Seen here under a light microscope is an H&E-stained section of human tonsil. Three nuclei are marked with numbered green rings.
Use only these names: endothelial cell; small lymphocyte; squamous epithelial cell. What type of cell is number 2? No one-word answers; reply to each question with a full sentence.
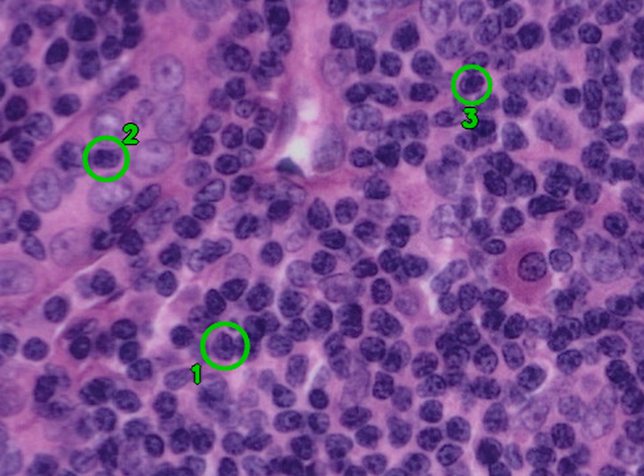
The numeral 2 marks an endothelial cell in this section.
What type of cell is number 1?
The cell identified by number 1 is a small lymphocyte.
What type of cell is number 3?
Regarding cell 3, this one is a small lymphocyte.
